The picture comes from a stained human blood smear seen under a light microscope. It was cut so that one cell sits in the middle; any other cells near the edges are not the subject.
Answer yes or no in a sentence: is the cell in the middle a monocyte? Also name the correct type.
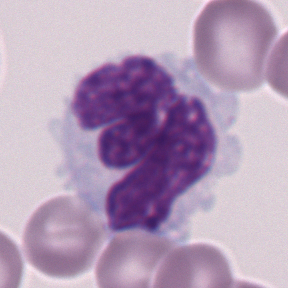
Yes, placed in the middle of the crop is a monocyte.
